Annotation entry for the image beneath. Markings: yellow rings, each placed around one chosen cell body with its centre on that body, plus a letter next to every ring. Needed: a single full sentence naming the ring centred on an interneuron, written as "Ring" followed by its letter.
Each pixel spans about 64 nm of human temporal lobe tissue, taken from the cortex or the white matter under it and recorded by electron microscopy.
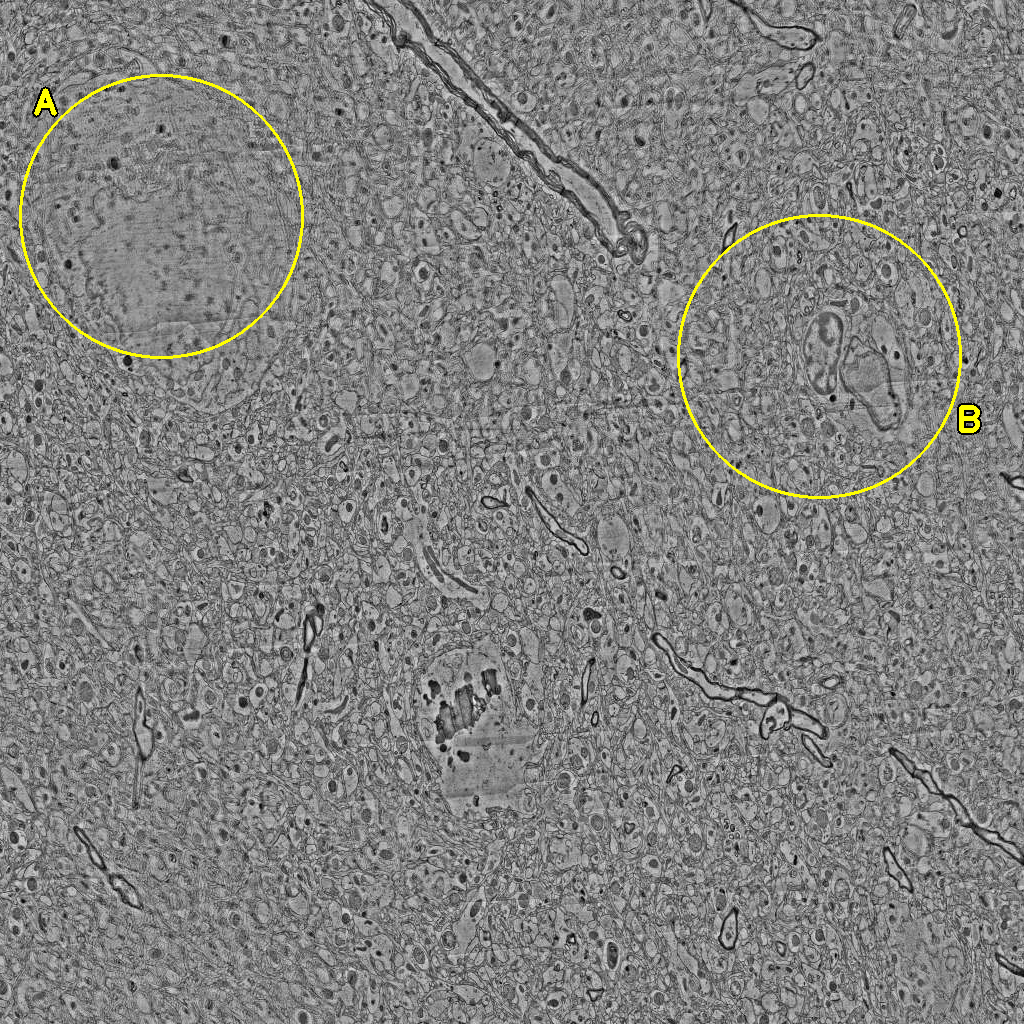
The image shows the cell in question at the centre of Ring A.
